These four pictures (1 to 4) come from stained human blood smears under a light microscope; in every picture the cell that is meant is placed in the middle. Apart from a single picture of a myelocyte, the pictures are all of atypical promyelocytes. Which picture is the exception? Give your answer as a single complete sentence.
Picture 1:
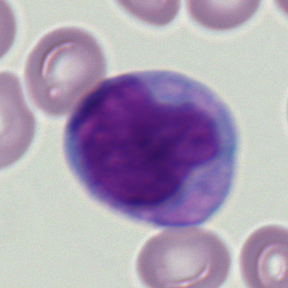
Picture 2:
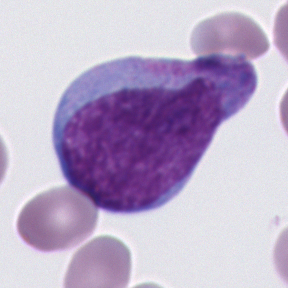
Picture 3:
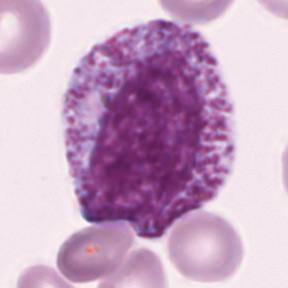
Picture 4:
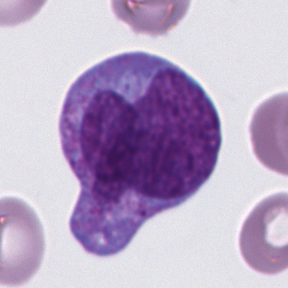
The picture with the myelocyte is 3.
